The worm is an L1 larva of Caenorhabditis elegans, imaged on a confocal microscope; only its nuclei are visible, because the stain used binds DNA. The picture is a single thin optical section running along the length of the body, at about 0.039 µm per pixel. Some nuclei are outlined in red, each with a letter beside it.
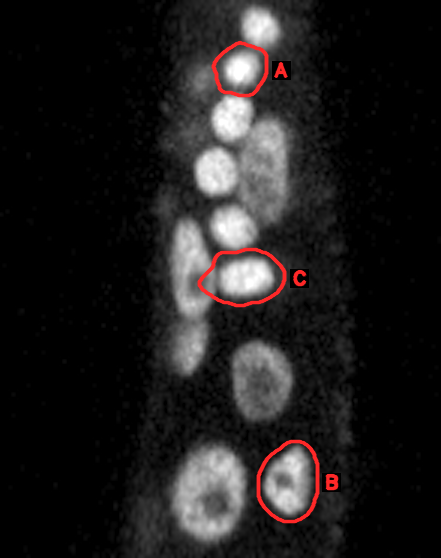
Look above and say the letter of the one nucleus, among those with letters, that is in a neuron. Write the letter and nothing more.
A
